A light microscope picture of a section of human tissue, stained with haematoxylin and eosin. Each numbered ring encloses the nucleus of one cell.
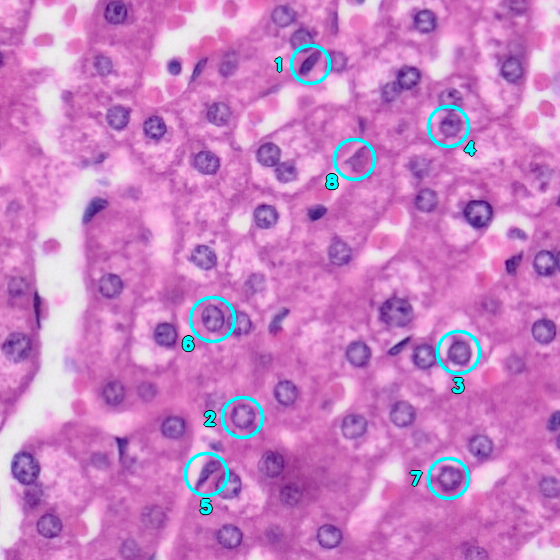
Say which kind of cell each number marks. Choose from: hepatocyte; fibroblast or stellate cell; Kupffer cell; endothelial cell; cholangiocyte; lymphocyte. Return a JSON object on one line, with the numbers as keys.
{"1": "fibroblast or stellate cell", "2": "hepatocyte", "3": "hepatocyte", "4": "hepatocyte", "5": "Kupffer cell", "6": "hepatocyte", "7": "hepatocyte", "8": "endothelial cell"}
